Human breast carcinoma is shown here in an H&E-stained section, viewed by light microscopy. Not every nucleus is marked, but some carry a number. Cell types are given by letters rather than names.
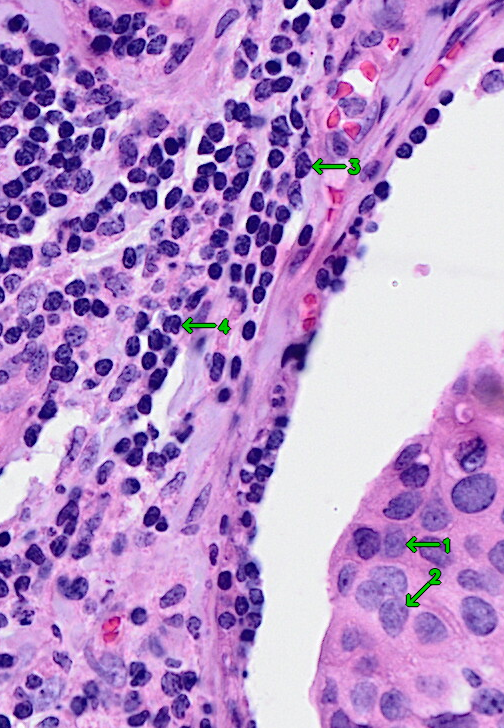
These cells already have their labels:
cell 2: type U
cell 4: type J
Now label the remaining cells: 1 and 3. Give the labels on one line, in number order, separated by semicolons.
type U; type J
